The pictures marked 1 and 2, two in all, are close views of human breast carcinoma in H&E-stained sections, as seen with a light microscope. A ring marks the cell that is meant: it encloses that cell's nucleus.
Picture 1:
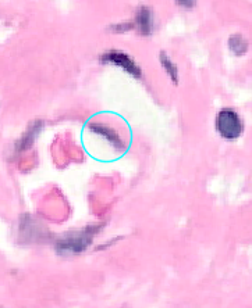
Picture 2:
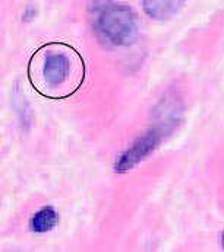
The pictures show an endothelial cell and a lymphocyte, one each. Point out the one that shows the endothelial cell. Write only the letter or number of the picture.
1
